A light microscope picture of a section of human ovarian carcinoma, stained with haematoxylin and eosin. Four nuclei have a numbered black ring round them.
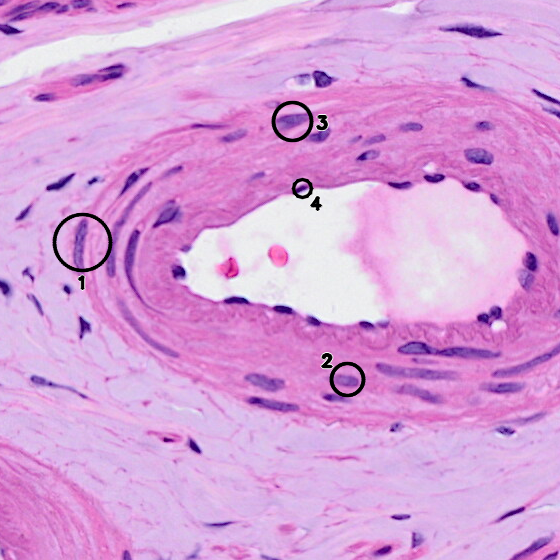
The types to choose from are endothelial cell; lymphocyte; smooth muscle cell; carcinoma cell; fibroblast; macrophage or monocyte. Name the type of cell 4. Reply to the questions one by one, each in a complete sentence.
Cell 4 should be recorded as an endothelial cell.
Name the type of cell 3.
Number 3 among the marked cells is a smooth muscle cell.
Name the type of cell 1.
Denoted by the label 1 in the section is a smooth muscle cell.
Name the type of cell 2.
The cell identified by the number 2 is a smooth muscle cell.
